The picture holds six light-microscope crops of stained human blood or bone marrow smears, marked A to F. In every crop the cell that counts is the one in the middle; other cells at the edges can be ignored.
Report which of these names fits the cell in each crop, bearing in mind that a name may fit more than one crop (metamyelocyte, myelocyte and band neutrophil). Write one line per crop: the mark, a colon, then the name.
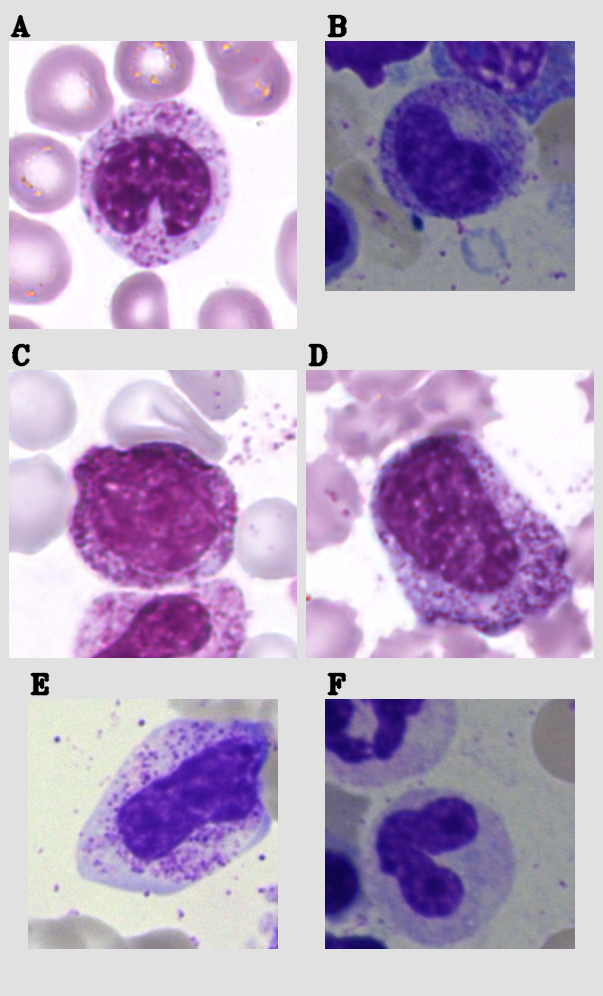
A: band neutrophil
B: metamyelocyte
C: myelocyte
D: myelocyte
E: metamyelocyte
F: band neutrophil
